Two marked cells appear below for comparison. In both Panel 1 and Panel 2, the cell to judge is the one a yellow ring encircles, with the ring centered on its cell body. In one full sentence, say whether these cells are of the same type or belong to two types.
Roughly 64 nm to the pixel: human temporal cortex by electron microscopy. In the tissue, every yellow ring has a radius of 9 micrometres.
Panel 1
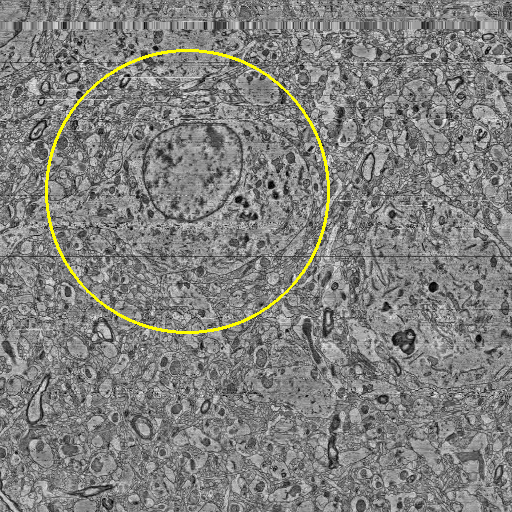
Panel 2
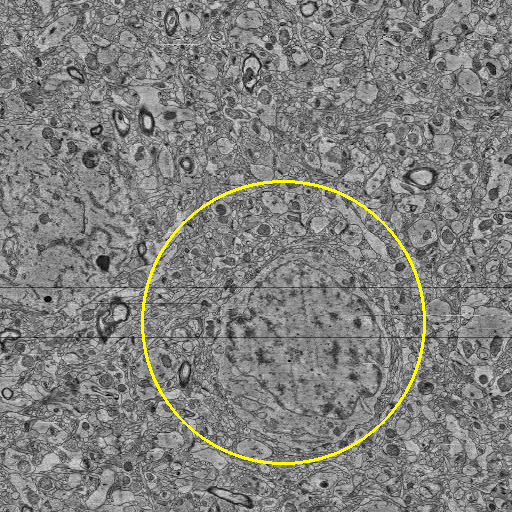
The cell centered in the Panel 1 ring and the one in Panel 2 belong to two types.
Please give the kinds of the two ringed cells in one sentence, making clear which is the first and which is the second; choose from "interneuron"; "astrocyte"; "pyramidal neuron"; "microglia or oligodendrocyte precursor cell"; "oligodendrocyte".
In the second picture the ringed cell is an interneuron; in the first it is a pyramidal neuron.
